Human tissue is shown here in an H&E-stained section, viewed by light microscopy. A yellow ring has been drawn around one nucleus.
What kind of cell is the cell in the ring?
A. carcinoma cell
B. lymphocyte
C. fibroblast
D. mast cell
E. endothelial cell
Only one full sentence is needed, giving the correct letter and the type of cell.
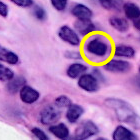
Option B correctly identifies the cell in the ring as a lymphocyte.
